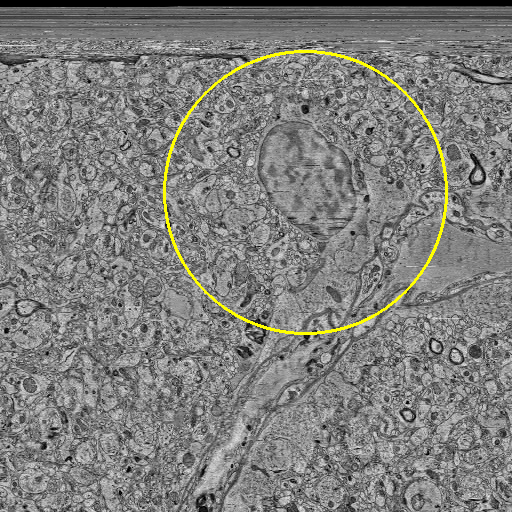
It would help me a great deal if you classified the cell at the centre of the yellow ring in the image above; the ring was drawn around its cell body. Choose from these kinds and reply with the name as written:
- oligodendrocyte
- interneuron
oligodendrocyte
